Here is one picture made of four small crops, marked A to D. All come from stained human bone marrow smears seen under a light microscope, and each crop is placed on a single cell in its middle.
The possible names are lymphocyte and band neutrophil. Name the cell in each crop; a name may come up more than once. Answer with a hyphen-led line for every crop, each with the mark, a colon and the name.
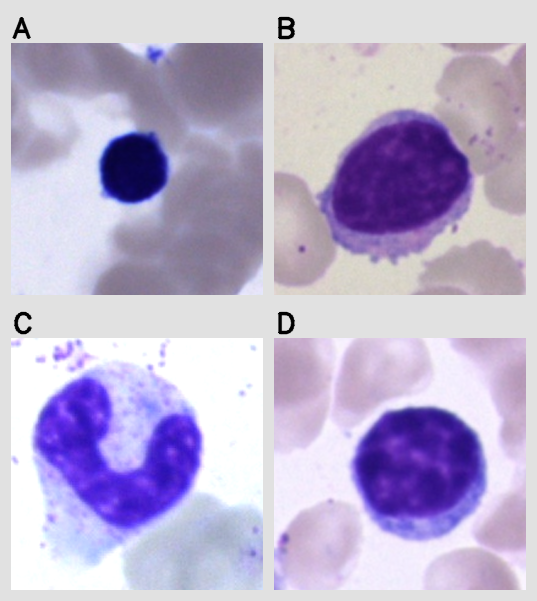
- A: lymphocyte
- B: lymphocyte
- C: band neutrophil
- D: lymphocyte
